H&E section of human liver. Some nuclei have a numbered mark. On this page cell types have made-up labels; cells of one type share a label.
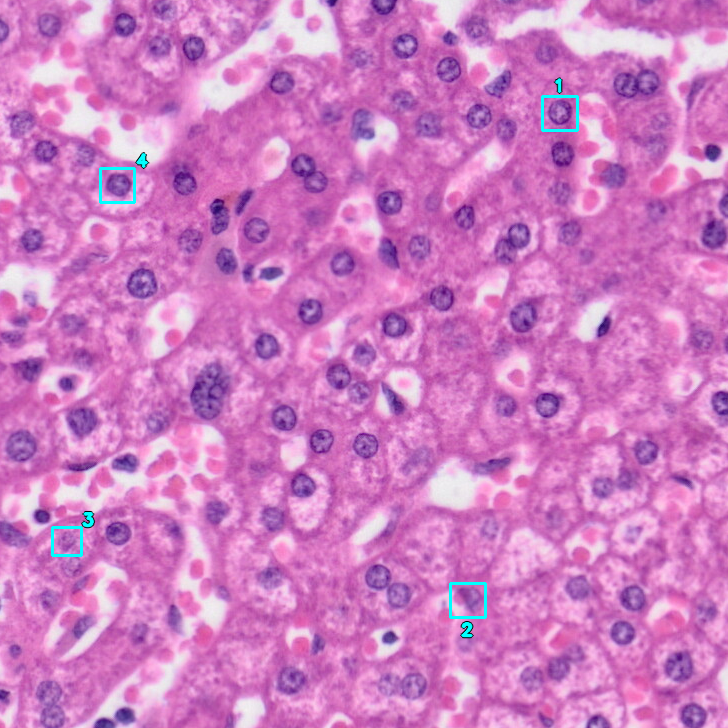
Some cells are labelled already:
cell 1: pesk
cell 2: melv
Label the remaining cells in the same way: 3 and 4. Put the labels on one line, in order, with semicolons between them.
pesk; pesk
